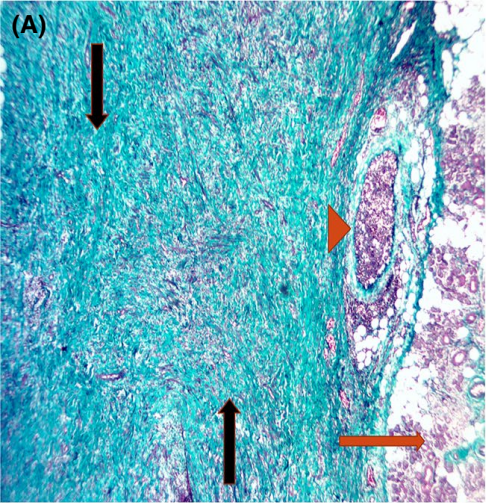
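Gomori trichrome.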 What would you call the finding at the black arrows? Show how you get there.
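Broad sheets of green-stained fibrous tissue fill most of the field. That points to this answer: extensive fibrosis.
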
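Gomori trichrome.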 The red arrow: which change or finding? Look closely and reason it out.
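Small purple glandular units lie at the right edge beside fat cells. The glandular units are small and set among fibrous and fatty tissue.
Conclusion: atrophic acini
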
